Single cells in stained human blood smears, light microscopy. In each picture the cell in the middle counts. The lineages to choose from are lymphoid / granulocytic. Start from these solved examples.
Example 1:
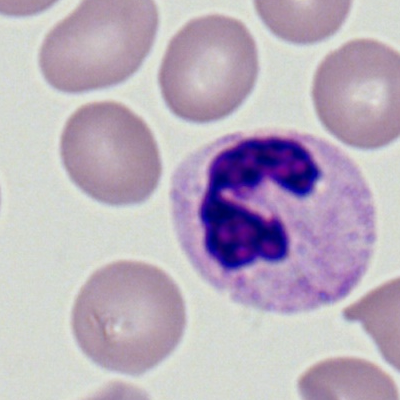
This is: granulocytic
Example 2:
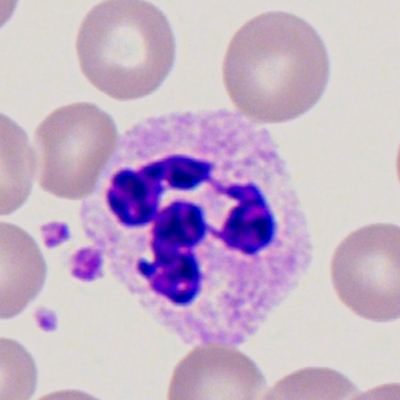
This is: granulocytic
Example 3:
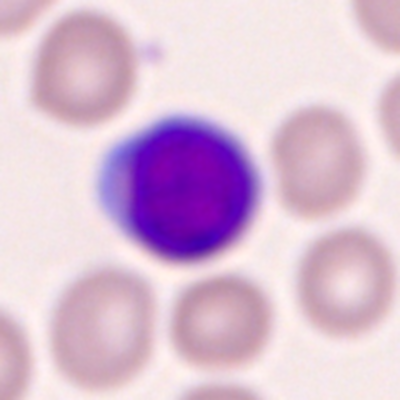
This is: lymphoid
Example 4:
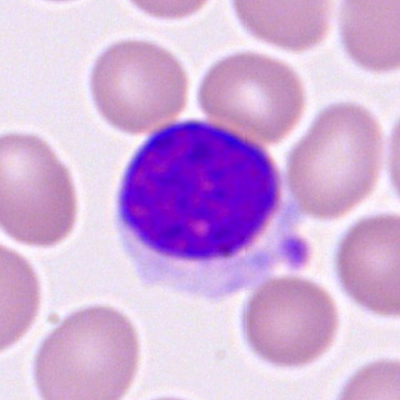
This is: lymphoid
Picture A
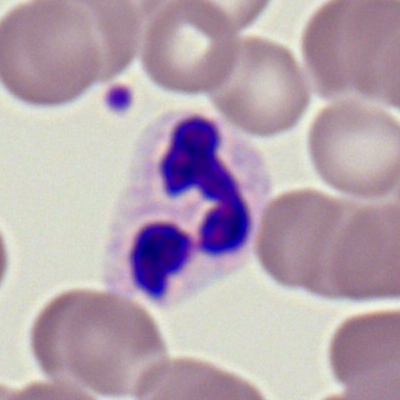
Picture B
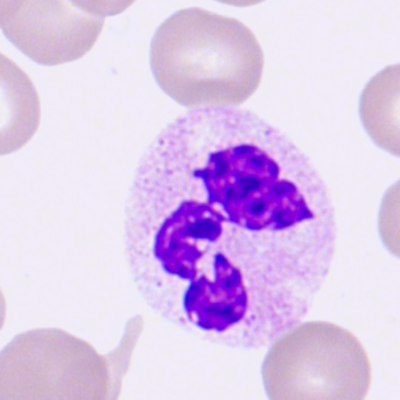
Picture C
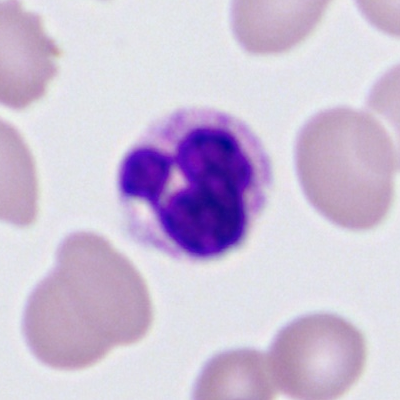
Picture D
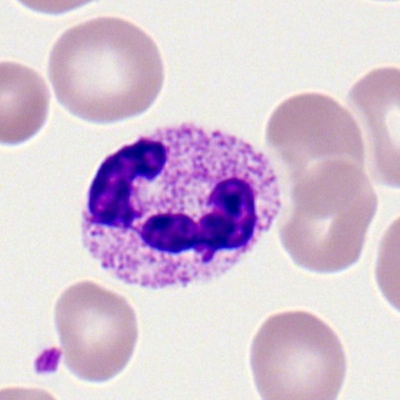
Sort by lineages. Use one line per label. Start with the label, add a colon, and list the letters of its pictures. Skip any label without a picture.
granulocytic: A, B, C, D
